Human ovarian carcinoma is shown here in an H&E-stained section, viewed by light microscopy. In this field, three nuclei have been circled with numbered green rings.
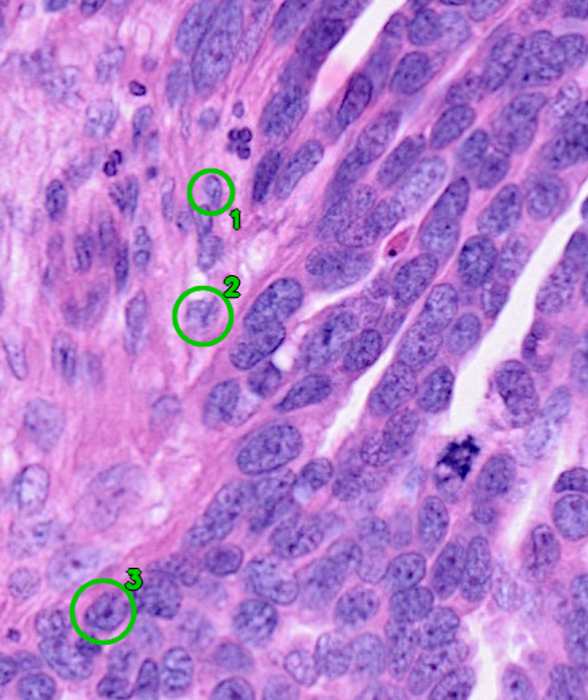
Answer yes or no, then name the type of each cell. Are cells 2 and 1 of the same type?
Yes, both are fibroblasts.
